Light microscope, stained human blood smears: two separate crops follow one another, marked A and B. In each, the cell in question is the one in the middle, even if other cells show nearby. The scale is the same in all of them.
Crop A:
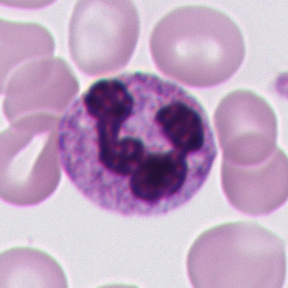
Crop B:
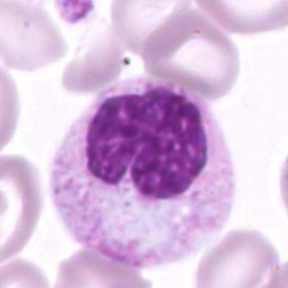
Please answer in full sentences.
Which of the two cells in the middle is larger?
Larger is the cell in crop B, at roughly 1.5 times the area of the other.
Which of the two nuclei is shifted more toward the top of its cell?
Seen within its cell, the nucleus in crop B lies further toward the top.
